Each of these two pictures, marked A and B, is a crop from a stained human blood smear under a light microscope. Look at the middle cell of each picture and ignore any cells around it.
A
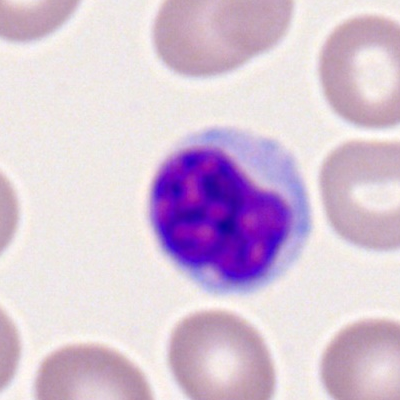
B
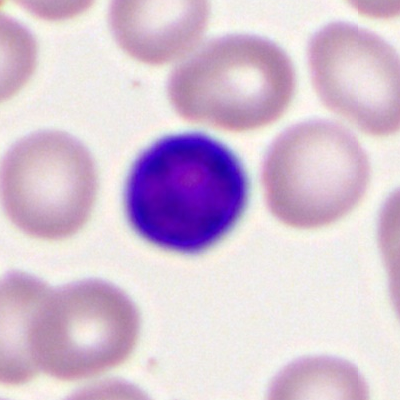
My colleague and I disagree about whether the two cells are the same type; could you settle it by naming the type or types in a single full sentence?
Yes, the central cells in both crops are lymphocytes.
